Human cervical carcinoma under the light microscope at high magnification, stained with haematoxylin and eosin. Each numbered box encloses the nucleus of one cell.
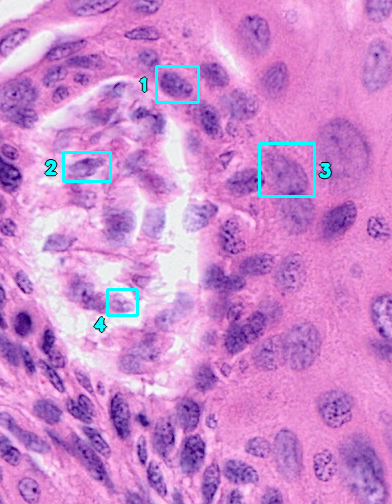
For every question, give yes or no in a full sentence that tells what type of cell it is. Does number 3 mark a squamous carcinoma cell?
Yes, the cell with number 3 is a squamous carcinoma cell.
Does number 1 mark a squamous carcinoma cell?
Yes, the nucleus numbered 1 belongs to a squamous carcinoma cell.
